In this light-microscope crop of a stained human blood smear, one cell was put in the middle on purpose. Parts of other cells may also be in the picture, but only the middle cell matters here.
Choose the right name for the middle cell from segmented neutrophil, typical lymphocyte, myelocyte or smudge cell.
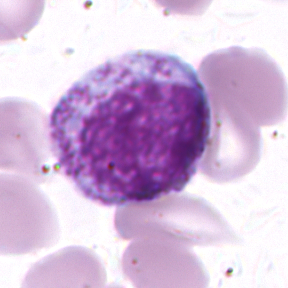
myelocyte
